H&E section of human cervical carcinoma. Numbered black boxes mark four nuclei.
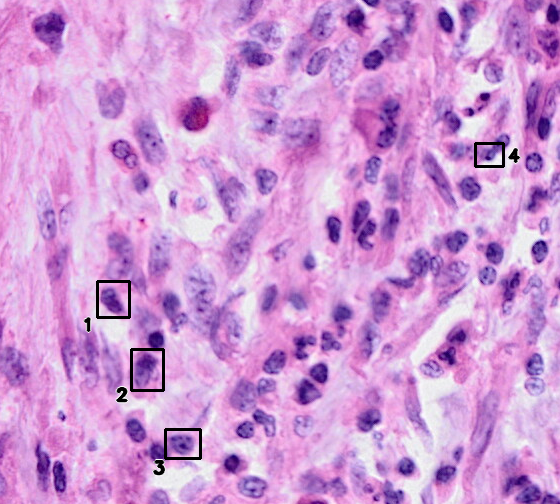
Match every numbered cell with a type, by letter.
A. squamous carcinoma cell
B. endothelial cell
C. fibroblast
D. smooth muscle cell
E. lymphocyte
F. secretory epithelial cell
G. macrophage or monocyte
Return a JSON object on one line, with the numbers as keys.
{"1": "E", "2": "G", "3": "E", "4": "E"}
